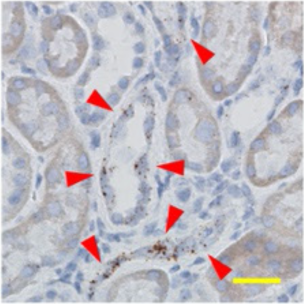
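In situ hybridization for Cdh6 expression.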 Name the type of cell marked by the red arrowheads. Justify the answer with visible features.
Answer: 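The arrowheads point at cells lining the wall of a tubule around an open lumen. Dark brown dots lie in the cytoplasm of these lining cells.
Tubular epithelial cells.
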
